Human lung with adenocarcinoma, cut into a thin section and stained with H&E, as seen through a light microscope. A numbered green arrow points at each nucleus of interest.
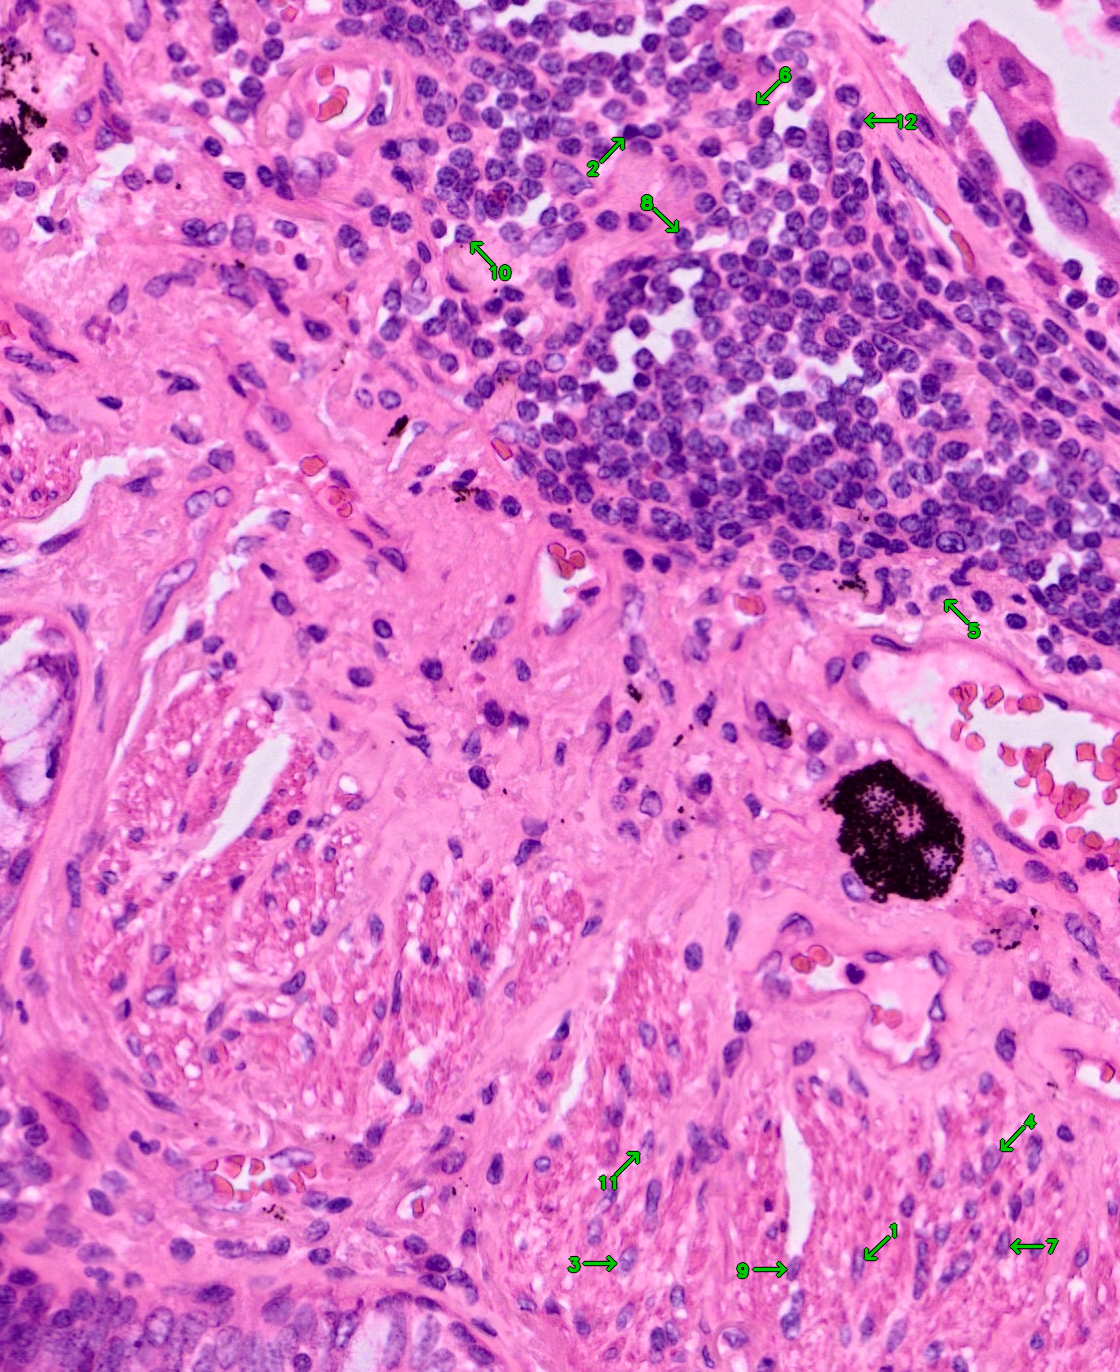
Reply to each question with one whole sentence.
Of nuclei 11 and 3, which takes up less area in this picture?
Nucleus 11 covers less area, with nucleus 3 about 1.5 times as large.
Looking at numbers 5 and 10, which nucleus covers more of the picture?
The larger nucleus is 10, at roughly 1.5 times the area of 5.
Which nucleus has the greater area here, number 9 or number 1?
The larger nucleus is 1, at roughly 1.5 times the area of 9.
